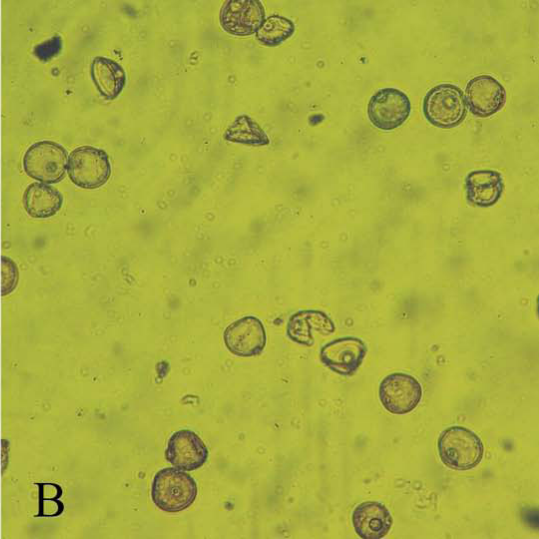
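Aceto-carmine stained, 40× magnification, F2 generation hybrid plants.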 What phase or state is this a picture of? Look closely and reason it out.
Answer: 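Grains are pale and almost unstained. Many grains are shrunken, collapsed or irregular, some triangular in outline. Grain contents appear empty or retracted from the wall. On this evidence: Sterile.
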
